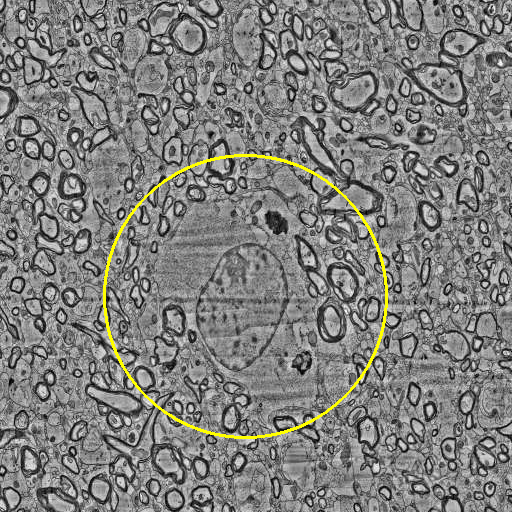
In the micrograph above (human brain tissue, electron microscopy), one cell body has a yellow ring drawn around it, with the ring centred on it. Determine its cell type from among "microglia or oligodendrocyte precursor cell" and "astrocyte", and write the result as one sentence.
The cell whose body is ringed is an astrocyte.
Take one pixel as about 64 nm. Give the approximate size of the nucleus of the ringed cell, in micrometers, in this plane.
The nucleus is approximately 8 micrometers long by 6 micrometers wide in this plane.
